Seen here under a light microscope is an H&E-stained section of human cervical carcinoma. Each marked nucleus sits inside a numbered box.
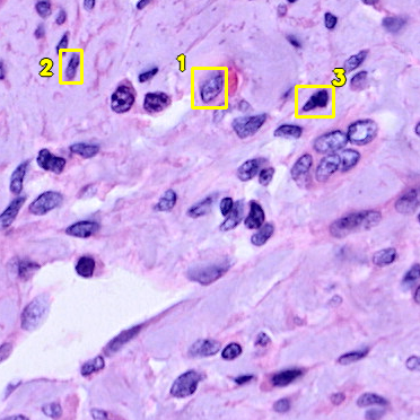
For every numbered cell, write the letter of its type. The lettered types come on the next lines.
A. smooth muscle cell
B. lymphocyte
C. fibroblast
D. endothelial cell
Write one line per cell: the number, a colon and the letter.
1: D
2: A
3: B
